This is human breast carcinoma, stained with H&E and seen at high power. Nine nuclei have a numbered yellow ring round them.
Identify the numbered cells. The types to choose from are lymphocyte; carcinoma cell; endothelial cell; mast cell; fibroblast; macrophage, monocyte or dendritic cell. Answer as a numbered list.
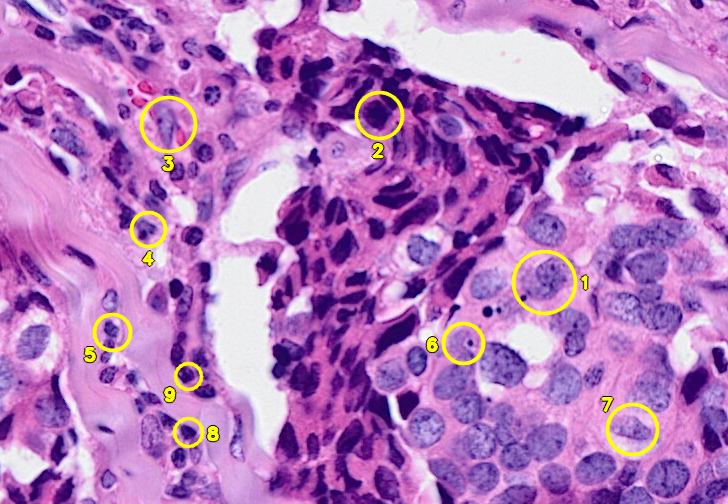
1. carcinoma cell
2. carcinoma cell
3. endothelial cell
4. lymphocyte
5. lymphocyte
6. carcinoma cell
7. carcinoma cell
8. lymphocyte
9. lymphocyte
